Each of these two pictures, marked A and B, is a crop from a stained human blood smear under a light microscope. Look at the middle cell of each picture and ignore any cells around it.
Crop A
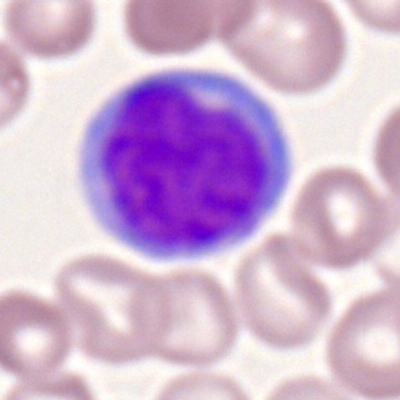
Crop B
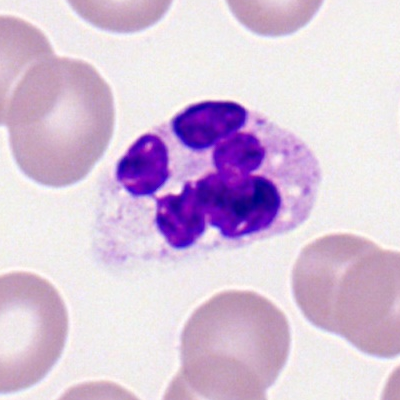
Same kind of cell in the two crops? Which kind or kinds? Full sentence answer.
No, it is crop A that shows a monocyte, and crop B shows a neutrophil.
